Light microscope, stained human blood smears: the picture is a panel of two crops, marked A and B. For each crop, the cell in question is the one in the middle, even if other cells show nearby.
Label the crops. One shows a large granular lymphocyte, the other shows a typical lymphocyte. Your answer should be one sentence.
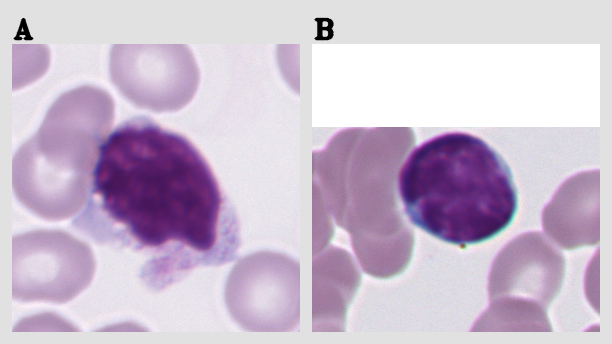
Crop A displays a large granular lymphocyte, and crop B displays a typical lymphocyte.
